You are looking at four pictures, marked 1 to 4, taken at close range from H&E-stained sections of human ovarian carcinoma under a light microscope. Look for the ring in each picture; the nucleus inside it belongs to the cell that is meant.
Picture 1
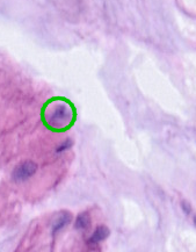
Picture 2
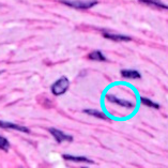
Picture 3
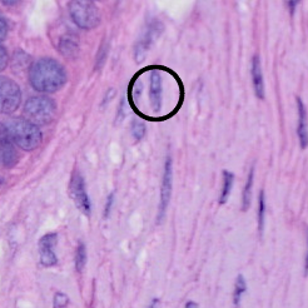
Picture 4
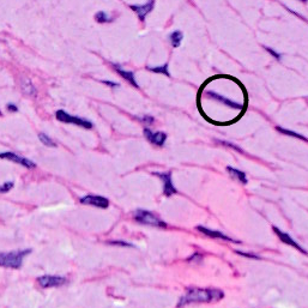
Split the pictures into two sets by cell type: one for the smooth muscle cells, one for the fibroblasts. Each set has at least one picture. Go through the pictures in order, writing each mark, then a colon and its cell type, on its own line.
1: smooth muscle cell
2: fibroblast
3: fibroblast
4: fibroblast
